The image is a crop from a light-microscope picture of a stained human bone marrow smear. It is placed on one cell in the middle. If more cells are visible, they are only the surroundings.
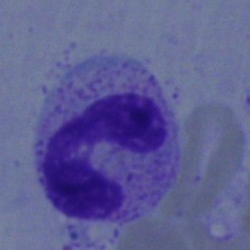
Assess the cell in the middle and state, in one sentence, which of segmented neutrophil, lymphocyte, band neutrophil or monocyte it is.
At the middle of the frame sits a band neutrophil.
